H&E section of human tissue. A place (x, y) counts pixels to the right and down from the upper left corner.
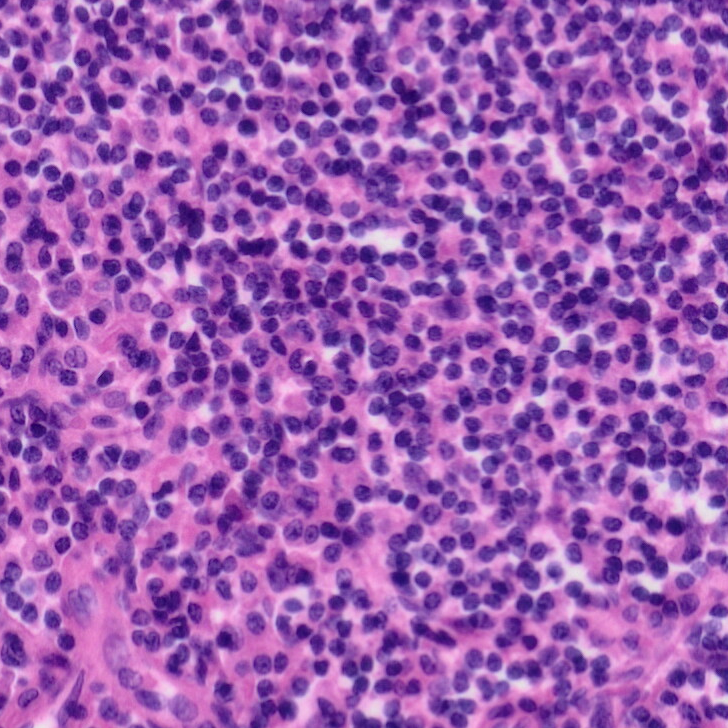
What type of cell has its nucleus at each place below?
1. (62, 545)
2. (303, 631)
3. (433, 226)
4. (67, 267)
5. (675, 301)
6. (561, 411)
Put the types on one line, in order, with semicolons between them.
plasma cell; small lymphocyte; small lymphocyte; plasma cell; small lymphocyte; small lymphocyte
